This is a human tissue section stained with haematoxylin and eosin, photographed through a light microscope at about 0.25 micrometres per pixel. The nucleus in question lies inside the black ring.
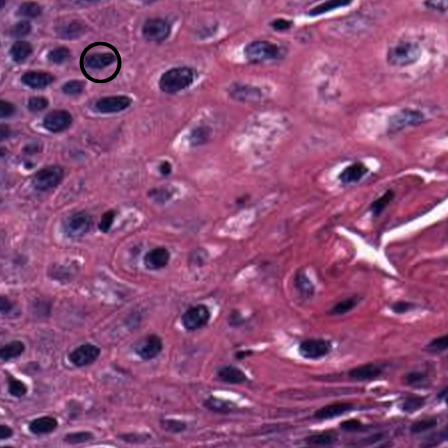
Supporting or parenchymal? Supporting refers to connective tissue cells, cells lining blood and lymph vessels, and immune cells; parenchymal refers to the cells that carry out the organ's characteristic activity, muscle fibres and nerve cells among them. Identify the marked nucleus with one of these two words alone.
parenchymal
